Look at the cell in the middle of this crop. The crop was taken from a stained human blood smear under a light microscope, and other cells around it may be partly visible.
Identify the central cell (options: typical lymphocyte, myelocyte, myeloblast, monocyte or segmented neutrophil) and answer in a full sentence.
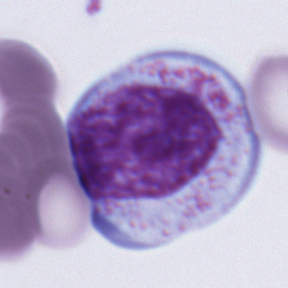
The cell at the heart of this crop is a myelocyte.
